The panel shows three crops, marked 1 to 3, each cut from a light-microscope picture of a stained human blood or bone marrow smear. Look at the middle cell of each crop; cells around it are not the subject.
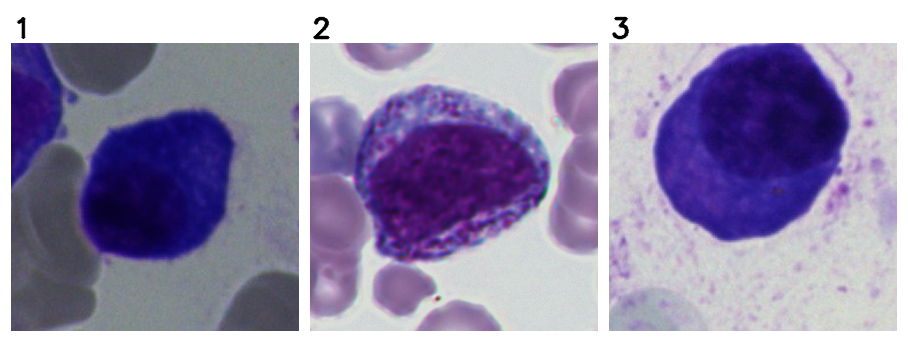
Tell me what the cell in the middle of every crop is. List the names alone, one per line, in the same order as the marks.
plasma cell
promyelocyte
plasma cell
